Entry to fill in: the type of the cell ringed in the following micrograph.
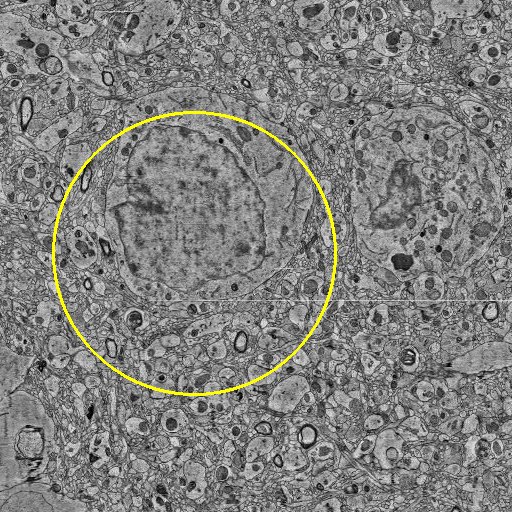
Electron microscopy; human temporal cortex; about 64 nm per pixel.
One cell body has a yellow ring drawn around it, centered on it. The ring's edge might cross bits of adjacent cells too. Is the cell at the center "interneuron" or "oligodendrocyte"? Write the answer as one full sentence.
This entry names an interneuron as the cell whose body lies at the ring's center.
